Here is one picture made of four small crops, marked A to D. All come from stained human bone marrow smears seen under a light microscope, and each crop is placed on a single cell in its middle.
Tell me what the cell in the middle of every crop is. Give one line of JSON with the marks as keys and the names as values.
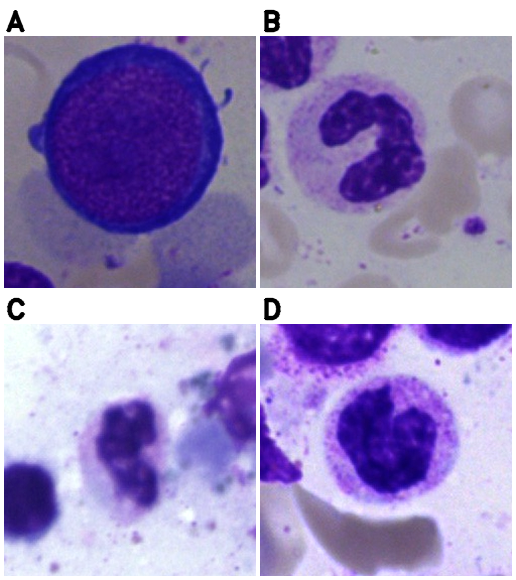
{"A": "proerythroblast", "B": "segmented neutrophil", "C": "segmented neutrophil", "D": "segmented neutrophil"}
